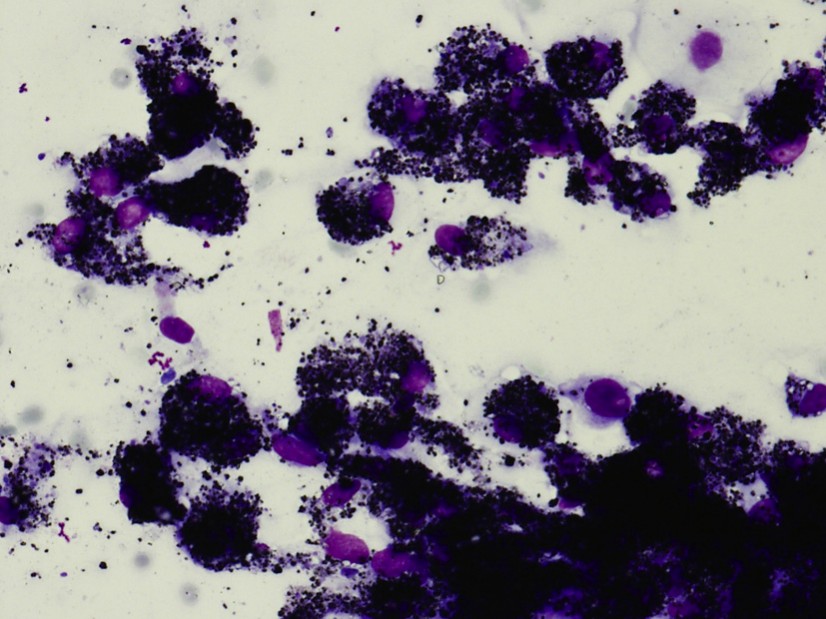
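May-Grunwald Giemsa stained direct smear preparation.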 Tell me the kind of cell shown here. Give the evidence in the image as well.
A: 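Large cells with abundant cytoplasm packed with coarse black granules. Single round to oval purple nuclei pushed to the edge of the granule-laden cytoplasm. Cells lie singly and in loose clusters. That points to this answer: macrophages.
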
